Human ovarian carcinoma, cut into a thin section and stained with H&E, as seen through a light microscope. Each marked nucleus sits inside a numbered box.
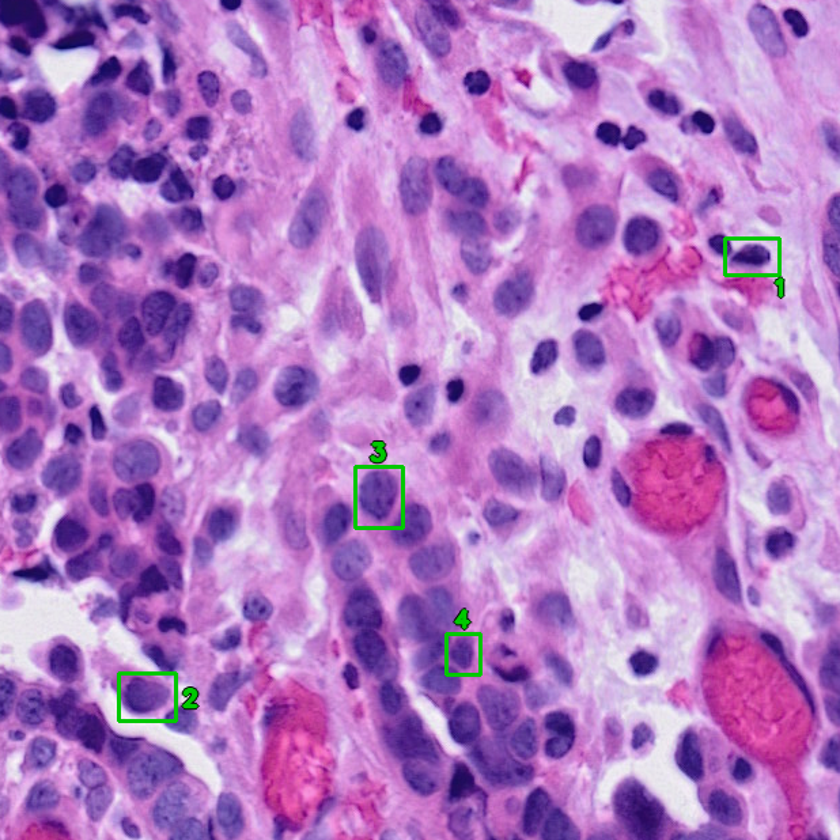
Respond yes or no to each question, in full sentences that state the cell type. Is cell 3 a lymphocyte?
No, cell 3 is not a lymphocyte: it is a carcinoma cell.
